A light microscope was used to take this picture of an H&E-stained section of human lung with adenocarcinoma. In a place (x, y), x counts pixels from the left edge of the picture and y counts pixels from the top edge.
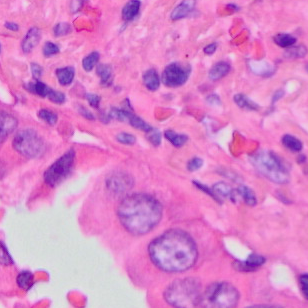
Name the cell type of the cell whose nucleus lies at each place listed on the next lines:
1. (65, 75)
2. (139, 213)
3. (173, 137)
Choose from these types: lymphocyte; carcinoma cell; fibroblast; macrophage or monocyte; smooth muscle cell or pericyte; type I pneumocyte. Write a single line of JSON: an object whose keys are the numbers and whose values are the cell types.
{"1": "lymphocyte", "2": "carcinoma cell", "3": "lymphocyte"}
